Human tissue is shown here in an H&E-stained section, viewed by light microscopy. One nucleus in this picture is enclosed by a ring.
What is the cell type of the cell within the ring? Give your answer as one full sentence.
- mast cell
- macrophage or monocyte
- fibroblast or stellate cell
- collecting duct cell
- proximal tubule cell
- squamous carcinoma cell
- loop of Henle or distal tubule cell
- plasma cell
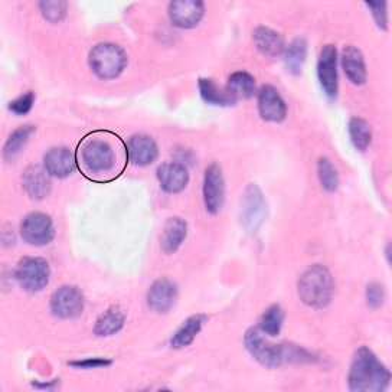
Microscopically, the cell within the ring is categorized as a collecting duct cell.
